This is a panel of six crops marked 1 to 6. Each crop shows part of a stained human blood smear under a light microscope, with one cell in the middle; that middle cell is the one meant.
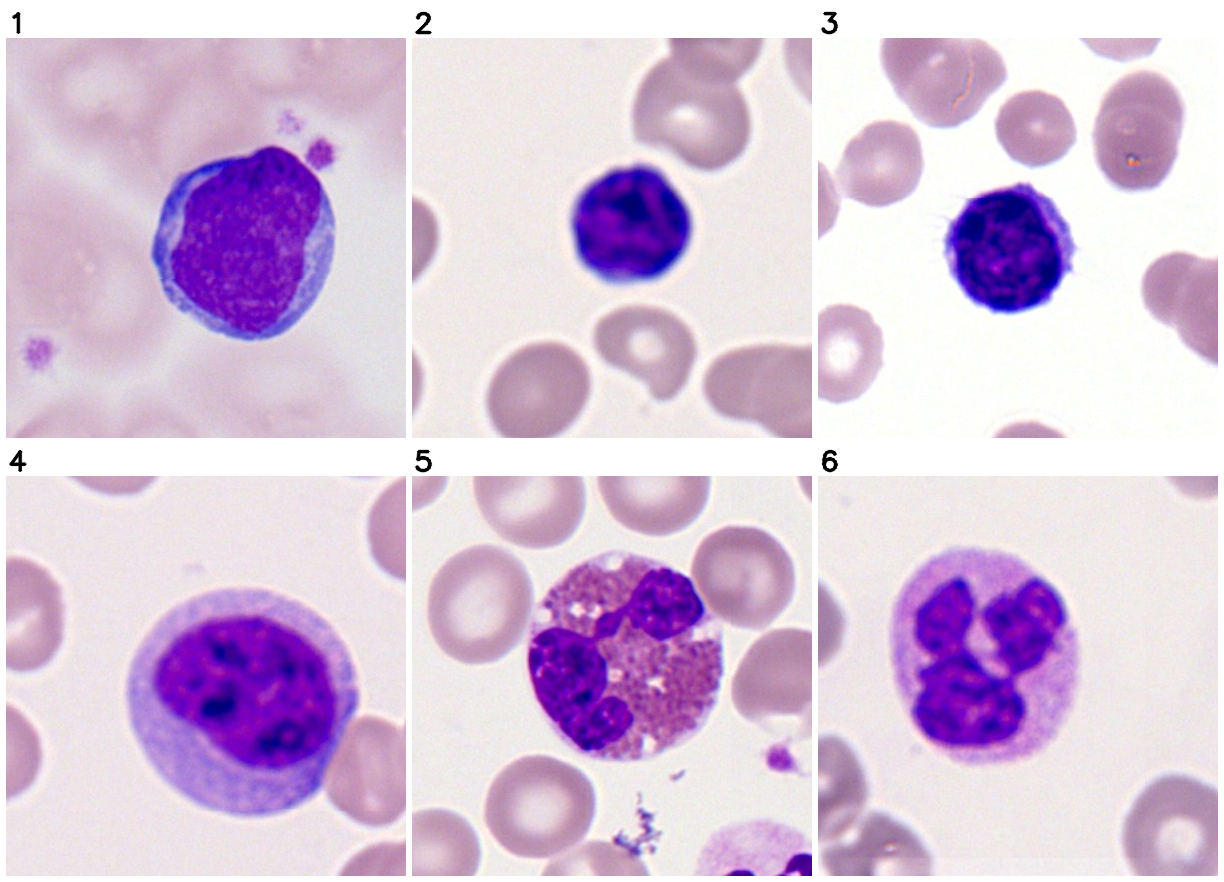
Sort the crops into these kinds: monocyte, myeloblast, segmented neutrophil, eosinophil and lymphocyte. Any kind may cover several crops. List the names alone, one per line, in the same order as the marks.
myeloblast
lymphocyte
lymphocyte
monocyte
eosinophil
segmented neutrophil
